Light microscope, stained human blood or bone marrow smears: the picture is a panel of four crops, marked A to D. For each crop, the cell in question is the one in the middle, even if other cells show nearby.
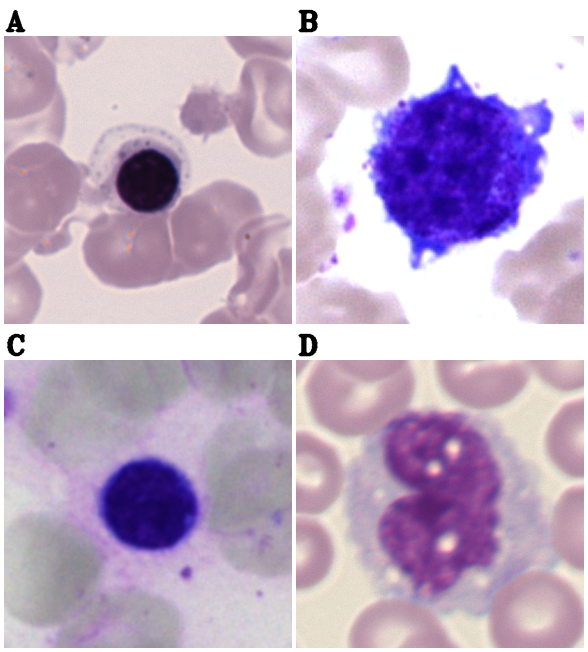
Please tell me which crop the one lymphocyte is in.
C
